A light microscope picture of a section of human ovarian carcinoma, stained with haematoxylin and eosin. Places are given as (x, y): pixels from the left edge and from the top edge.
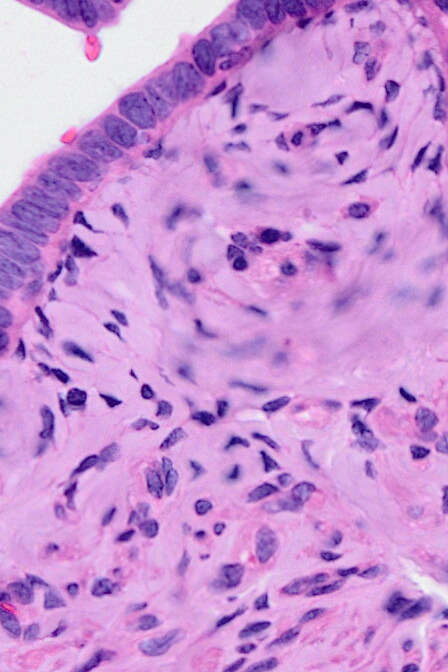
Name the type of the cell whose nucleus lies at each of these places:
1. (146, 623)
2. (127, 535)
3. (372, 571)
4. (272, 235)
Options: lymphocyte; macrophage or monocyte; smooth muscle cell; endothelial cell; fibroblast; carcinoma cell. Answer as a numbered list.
1. smooth muscle cell
2. smooth muscle cell
3. smooth muscle cell
4. lymphocyte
